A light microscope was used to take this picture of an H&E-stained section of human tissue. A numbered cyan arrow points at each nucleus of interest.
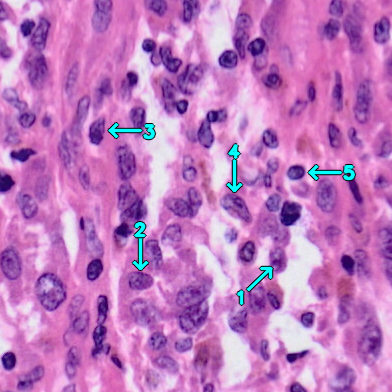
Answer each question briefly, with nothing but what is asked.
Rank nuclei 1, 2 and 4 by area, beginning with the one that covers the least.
1, 2, 4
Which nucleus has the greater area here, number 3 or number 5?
3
